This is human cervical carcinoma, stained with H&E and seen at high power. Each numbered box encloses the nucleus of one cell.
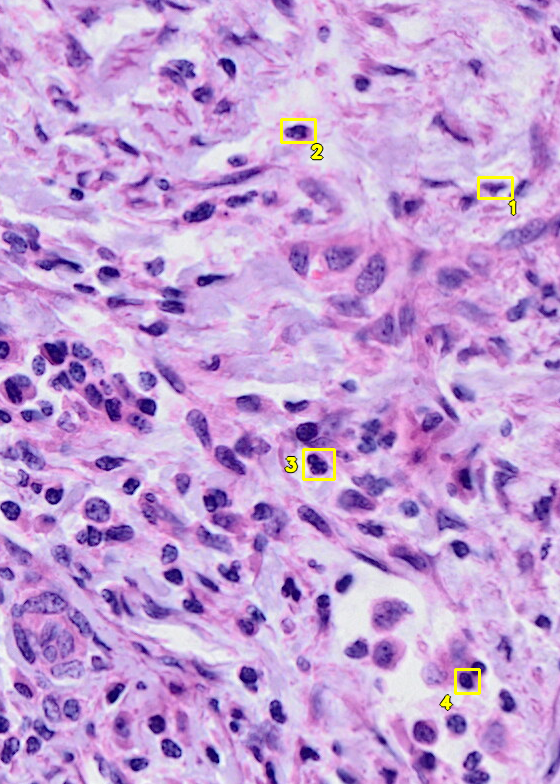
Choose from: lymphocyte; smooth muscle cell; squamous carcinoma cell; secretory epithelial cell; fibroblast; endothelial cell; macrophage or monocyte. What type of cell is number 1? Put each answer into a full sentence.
The cell referred to as 1 is a fibroblast.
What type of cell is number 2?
What the number 2 marks in this field is a lymphocyte.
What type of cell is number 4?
The marked nucleus 4 is that of a lymphocyte.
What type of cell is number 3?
Looking at the numbered marks, cell 3 is a lymphocyte.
